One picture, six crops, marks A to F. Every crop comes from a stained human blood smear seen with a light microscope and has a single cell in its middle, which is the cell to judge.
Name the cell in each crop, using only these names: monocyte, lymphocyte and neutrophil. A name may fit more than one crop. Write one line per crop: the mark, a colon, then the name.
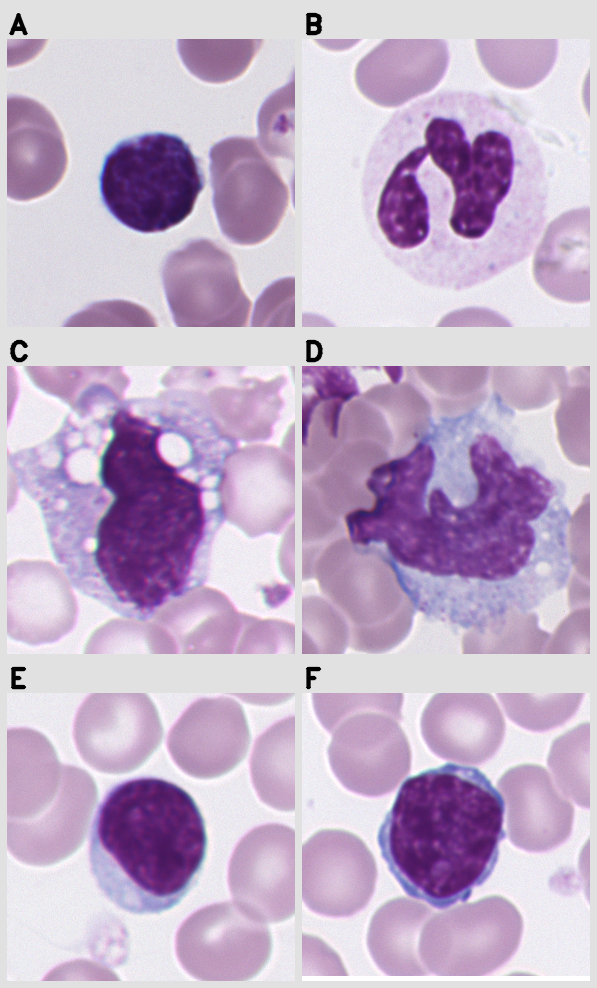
A: lymphocyte
B: neutrophil
C: monocyte
D: monocyte
E: lymphocyte
F: lymphocyte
